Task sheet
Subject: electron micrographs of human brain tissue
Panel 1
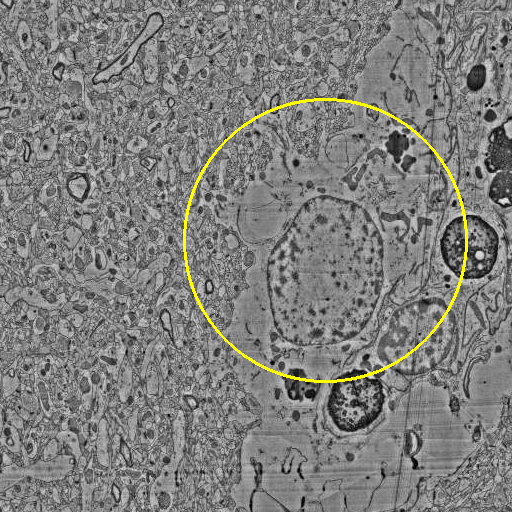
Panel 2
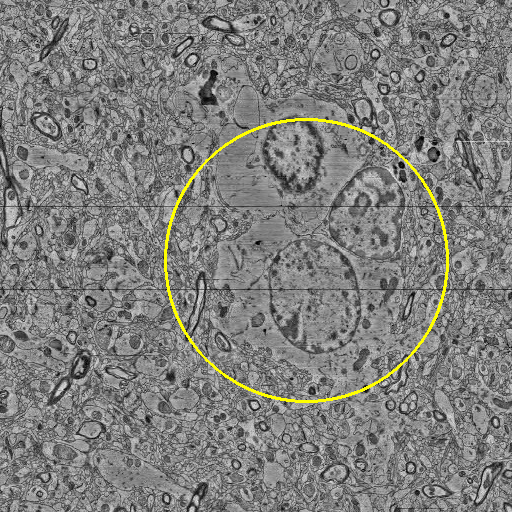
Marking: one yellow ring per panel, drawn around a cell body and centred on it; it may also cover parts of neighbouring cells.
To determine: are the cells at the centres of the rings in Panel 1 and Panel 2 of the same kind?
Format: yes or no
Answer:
yes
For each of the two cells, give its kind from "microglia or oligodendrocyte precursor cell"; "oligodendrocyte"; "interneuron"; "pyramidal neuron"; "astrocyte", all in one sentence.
In each of the two pictures, the ringed cell is an astrocyte.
